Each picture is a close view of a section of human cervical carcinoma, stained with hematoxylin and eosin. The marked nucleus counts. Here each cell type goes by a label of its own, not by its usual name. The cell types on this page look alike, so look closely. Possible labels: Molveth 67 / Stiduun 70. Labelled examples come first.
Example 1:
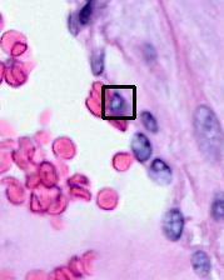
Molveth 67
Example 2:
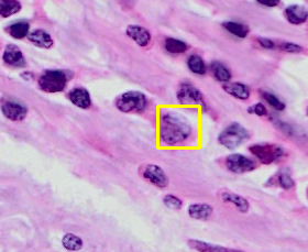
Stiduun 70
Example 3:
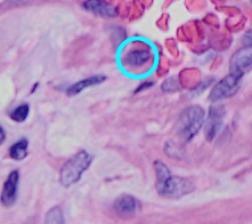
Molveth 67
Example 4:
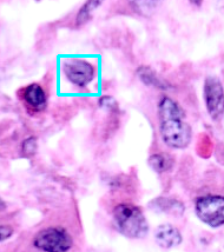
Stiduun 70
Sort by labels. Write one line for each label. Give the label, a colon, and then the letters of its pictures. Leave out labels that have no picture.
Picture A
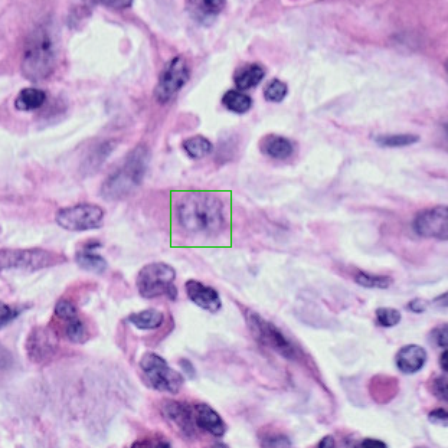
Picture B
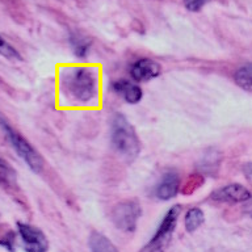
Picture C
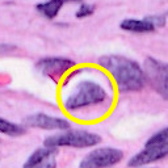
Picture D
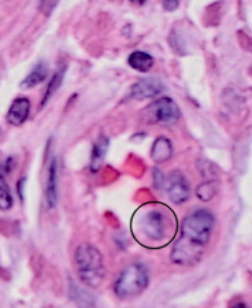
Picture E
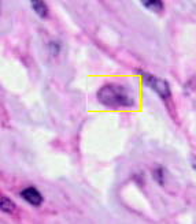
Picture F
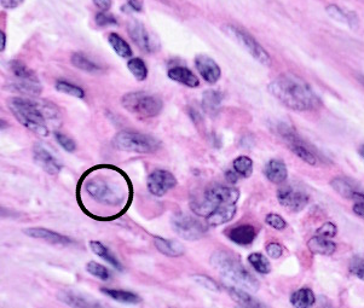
Molveth 67: A, C, D, F
Stiduun 70: B, E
